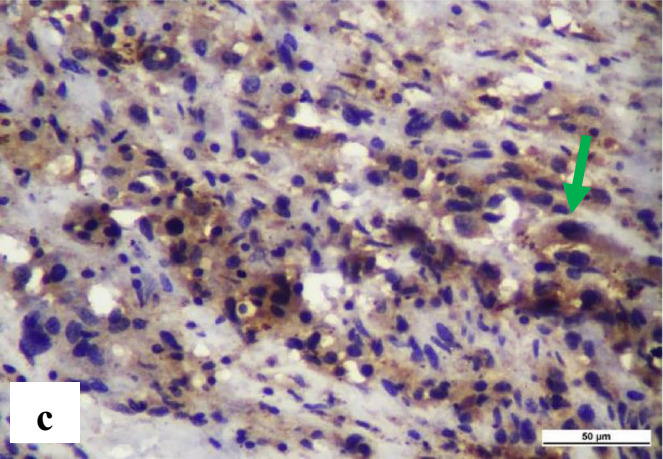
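A densely cellular tissue made of closely packed oval to spindle-shaped cells lying in loose streams, with small clear spaces scattered between them. The nuclei are blue-purple and vary in size and shape, some large and dark. Many cells carry brown granular staining in their cytoplasm, gathered in patches, while others show only blue nuclei with pale cytoplasm.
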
